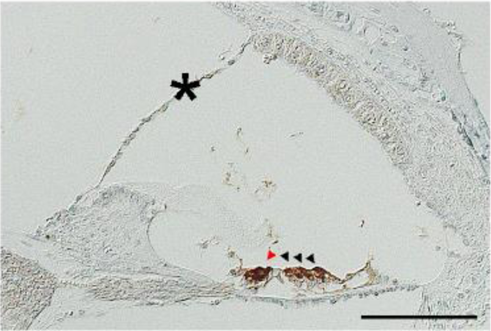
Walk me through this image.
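This is a section through the cochlear duct, seen as a roughly triangular fluid space. A thin membrane, the Reissner's membrane, runs diagonally across its upper side, and the outer wall on the right is a thicker band of tissue. On the floor of the duct lies the sensory epithelium, where brown-stained hair cells stand out against the pale blue counterstain: a single inner hair cell on the inner side and a neat row of three outer hair cells beside it. Below and around them, unstained supporting tissue and bone frame the duct.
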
